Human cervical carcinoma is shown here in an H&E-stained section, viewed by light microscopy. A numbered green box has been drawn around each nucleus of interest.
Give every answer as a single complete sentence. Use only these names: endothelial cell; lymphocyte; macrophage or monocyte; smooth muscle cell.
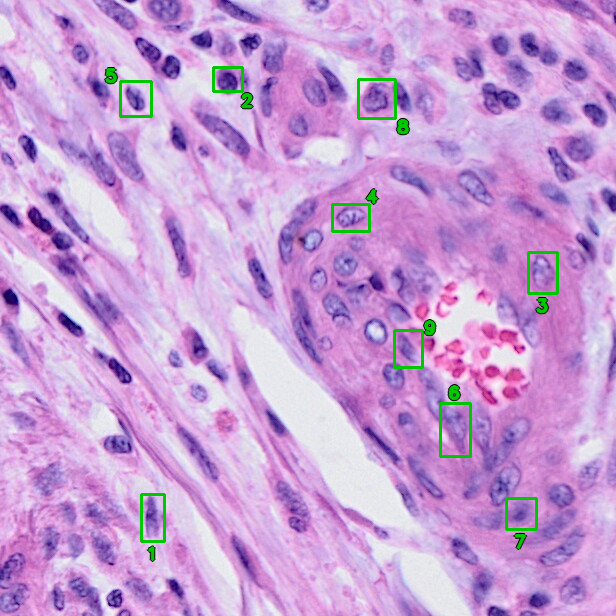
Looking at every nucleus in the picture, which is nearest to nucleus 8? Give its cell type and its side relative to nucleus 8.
The closest nucleus belongs to a lymphocyte and sits to the right of nucleus 8.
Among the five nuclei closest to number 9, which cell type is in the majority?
The majority of the five nuclei closest to number 9 belong to smooth muscle cells.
